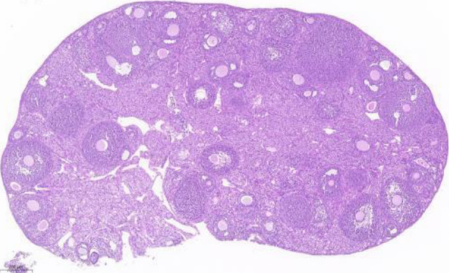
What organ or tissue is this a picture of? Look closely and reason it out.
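An oval organ section bounded by a thin capsule. Many round follicles with central pink oocytes lie in the periphery. Some follicles have fluid-filled cavities surrounded by dense cell layers.
Hence: ovary.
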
